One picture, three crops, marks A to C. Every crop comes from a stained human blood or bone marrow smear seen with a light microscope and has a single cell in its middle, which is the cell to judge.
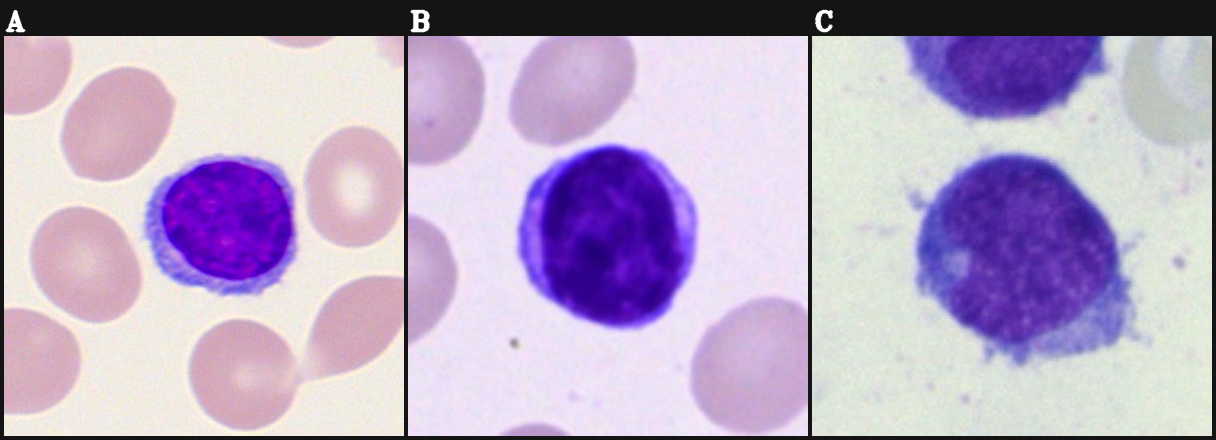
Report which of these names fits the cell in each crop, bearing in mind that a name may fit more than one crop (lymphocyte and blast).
A: lymphocyte
B: lymphocyte
C: blast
